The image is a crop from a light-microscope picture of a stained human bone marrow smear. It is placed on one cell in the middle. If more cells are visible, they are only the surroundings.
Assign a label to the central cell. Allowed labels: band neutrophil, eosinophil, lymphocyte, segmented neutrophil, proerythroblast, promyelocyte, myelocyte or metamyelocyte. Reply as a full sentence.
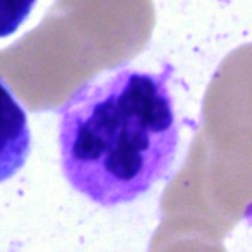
The crop shows a segmented neutrophil in its centre.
